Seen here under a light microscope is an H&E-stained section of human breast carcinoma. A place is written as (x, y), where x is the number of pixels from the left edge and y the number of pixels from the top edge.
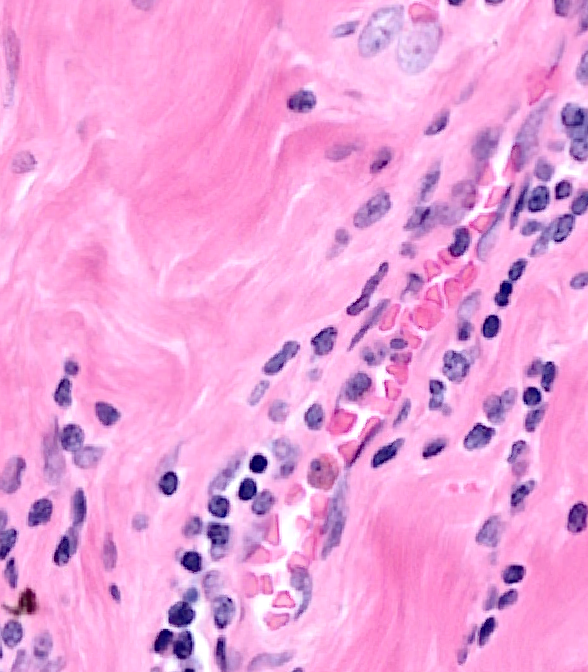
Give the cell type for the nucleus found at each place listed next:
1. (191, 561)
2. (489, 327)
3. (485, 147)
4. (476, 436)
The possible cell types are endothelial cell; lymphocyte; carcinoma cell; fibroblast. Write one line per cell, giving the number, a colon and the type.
1: lymphocyte
2: lymphocyte
3: endothelial cell
4: lymphocyte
